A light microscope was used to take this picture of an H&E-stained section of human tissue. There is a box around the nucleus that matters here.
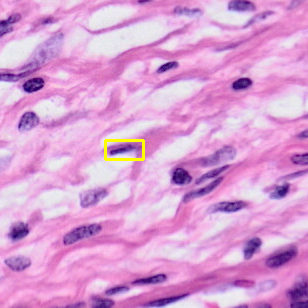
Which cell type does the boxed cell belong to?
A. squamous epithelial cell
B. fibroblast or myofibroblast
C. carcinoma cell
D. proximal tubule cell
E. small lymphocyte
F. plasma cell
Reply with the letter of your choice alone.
B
